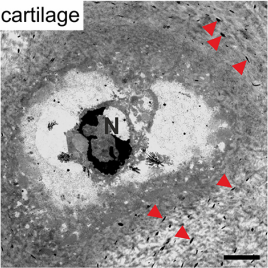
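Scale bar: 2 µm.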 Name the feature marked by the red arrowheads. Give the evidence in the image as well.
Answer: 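Small dark specks lie in the matrix around the cell's lacuna. The arrowheads point at these specks outside the cell. On this evidence: electron-dense aggregates.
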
